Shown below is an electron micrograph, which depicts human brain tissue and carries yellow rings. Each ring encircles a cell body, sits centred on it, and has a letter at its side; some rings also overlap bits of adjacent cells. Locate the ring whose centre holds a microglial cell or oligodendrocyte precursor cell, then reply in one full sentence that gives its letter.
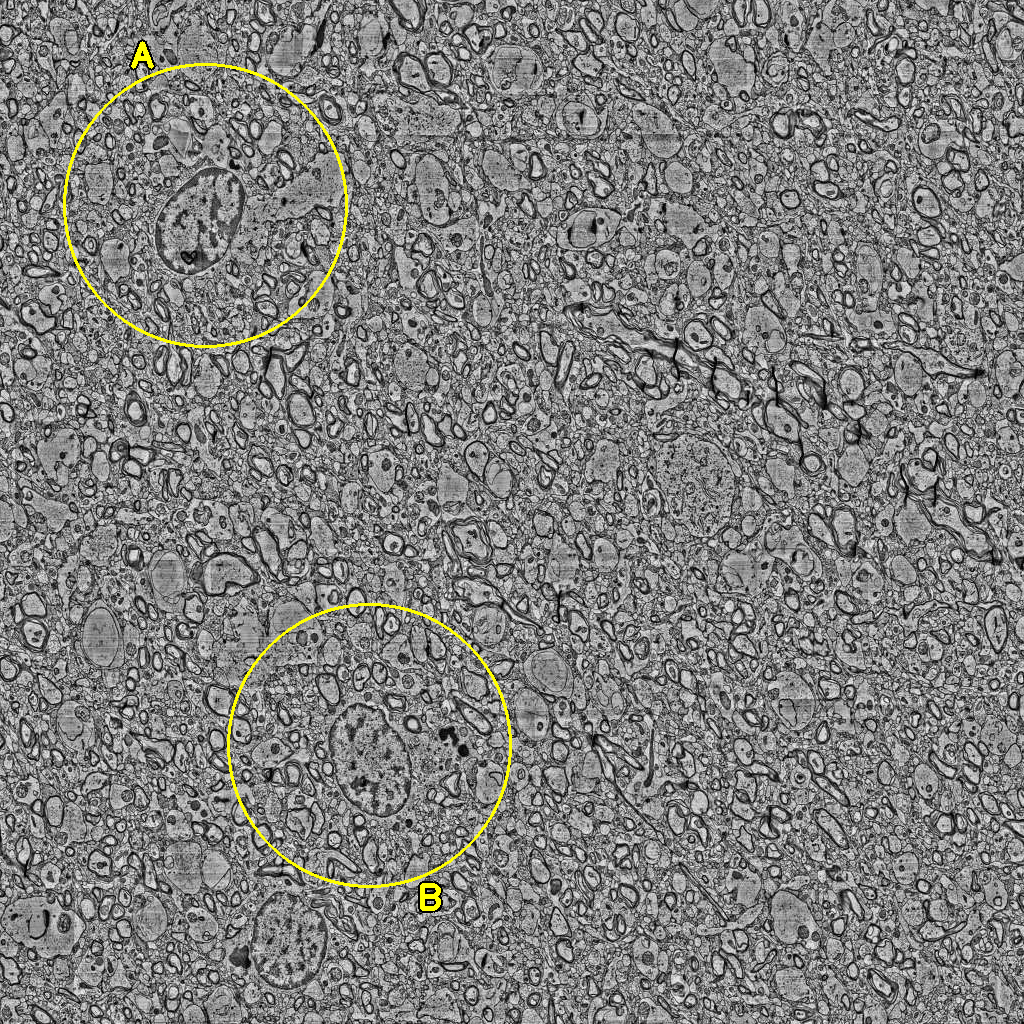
The ring centred on the cell asked for is the one marked A.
